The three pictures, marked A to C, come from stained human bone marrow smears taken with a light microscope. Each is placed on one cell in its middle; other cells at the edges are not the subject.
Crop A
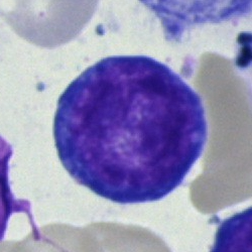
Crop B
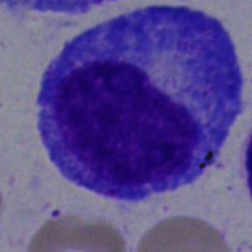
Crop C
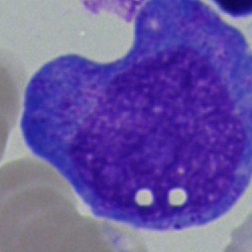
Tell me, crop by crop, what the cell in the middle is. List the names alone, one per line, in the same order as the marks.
proerythroblast
promyelocyte
promyelocyte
